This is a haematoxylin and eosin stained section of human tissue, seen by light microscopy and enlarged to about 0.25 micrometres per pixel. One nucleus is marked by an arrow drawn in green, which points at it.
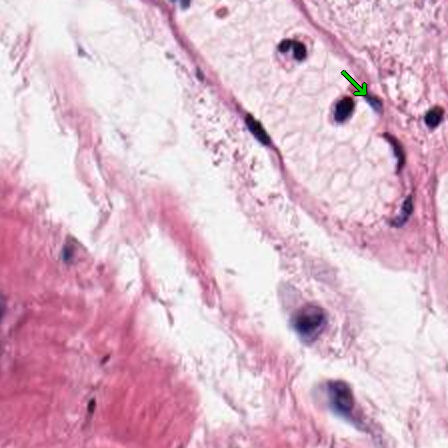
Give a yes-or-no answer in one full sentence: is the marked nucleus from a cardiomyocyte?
No, a cardiomyocyte does not own the marked nucleus, which belongs to a supporting cell.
